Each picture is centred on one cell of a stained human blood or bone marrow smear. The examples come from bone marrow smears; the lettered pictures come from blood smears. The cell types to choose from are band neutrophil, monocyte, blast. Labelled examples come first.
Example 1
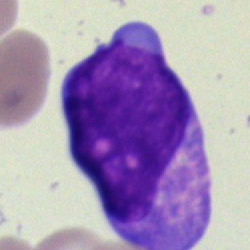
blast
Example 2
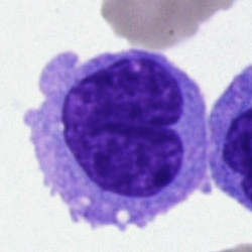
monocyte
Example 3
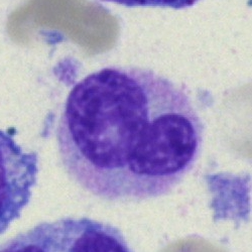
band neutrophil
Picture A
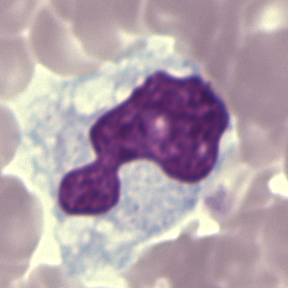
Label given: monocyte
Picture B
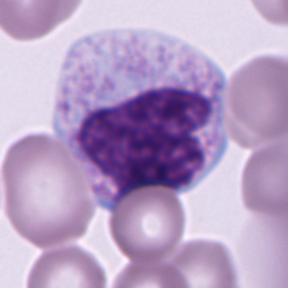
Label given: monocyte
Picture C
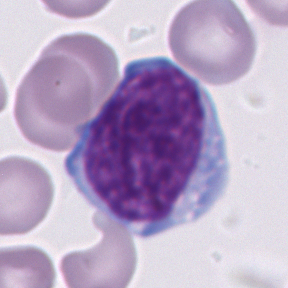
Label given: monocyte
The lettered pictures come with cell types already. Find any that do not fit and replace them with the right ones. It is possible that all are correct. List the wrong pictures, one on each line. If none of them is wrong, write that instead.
B is labelled monocyte; correct label: band neutrophil
C is labelled monocyte; correct label: blast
